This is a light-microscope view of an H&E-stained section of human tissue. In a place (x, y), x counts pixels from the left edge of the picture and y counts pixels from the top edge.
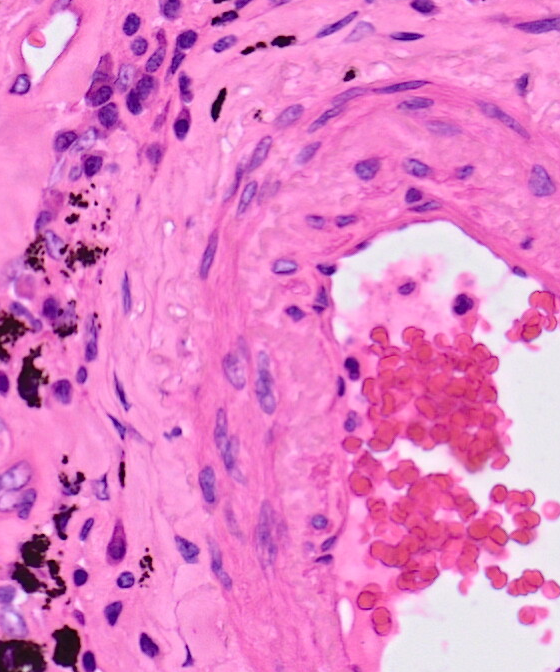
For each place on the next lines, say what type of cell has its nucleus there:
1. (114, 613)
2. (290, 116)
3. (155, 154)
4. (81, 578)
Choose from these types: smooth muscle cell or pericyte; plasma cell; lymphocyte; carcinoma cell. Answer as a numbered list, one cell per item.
1. lymphocyte
2. smooth muscle cell or pericyte
3. plasma cell
4. lymphocyte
